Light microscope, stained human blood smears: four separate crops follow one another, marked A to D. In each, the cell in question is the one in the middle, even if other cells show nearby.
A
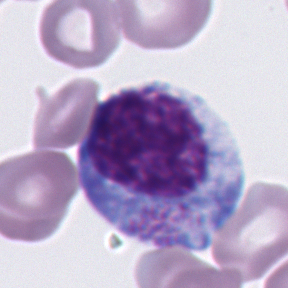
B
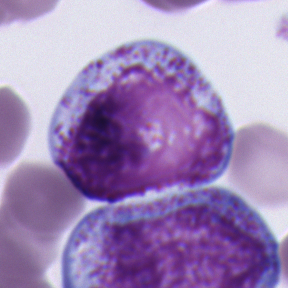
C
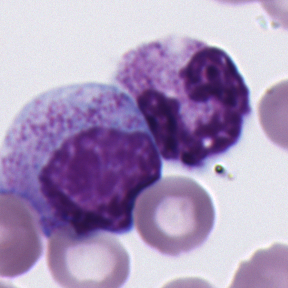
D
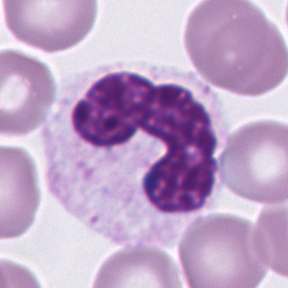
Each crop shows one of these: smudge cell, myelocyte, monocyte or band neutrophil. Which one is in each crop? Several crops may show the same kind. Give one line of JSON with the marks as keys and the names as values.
{"A": "myelocyte", "B": "myelocyte", "C": "myelocyte", "D": "band neutrophil"}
